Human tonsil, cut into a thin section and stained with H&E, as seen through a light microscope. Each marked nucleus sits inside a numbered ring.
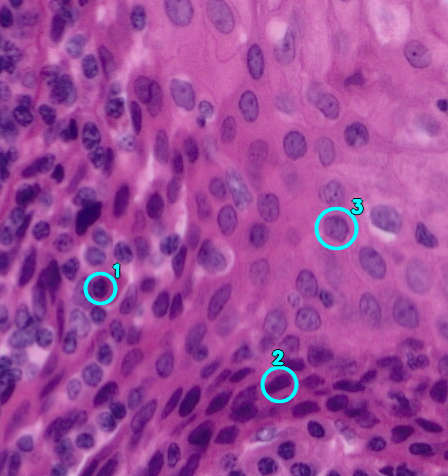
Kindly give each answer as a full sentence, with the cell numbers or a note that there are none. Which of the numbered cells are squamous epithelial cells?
In this section, the cells labelled 2 and 3 are squamous epithelial cells.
